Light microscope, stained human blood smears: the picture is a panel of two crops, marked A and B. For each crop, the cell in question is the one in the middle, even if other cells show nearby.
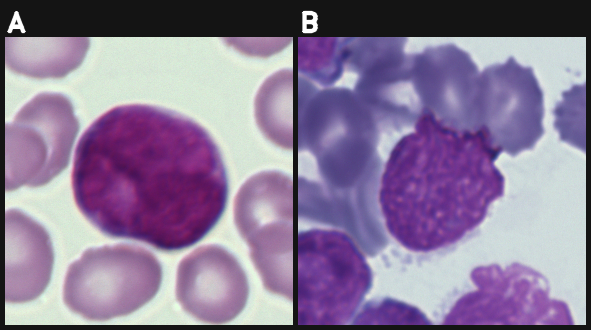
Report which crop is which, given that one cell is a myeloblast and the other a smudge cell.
A: myeloblast
B: smudge cell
